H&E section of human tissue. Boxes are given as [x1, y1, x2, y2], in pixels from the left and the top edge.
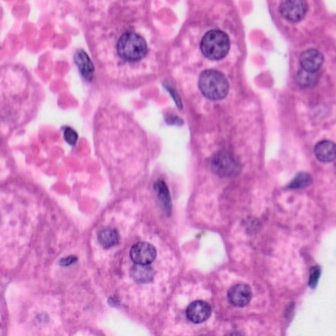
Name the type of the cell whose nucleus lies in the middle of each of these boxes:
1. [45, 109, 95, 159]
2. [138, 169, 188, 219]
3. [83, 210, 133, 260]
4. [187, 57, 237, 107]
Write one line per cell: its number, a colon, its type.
1: lymphocyte
2: Kupffer cell
3: hepatocyte
4: hepatocyte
